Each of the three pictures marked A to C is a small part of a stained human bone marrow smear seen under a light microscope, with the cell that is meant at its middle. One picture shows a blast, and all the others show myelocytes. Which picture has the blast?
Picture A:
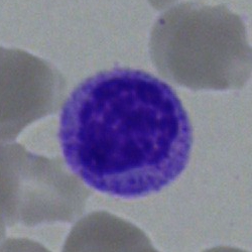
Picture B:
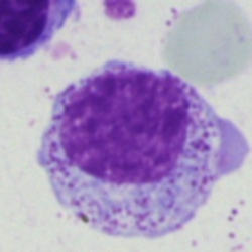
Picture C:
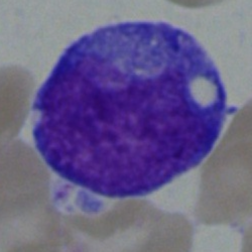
C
